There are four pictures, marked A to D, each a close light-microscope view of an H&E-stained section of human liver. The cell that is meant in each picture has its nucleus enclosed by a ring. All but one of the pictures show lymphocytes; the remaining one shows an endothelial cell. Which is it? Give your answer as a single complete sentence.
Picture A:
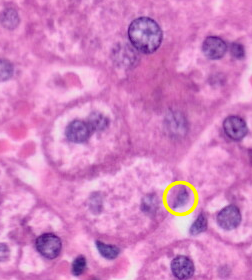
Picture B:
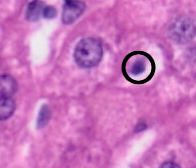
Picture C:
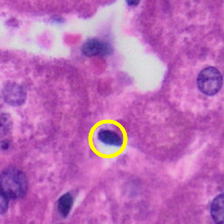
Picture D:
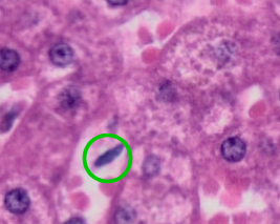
The picture with the endothelial cell is A.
